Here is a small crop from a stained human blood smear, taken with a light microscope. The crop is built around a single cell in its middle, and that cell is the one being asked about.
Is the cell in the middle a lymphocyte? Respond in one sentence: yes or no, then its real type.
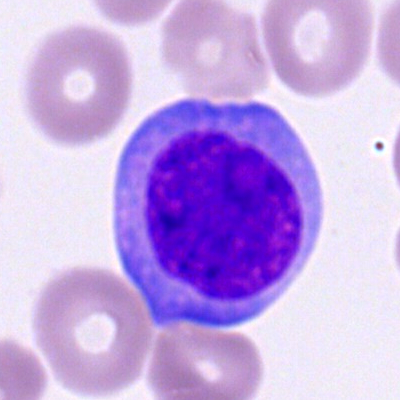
No, at the centre of this crop is found a myeloblast instead of a lymphocyte.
